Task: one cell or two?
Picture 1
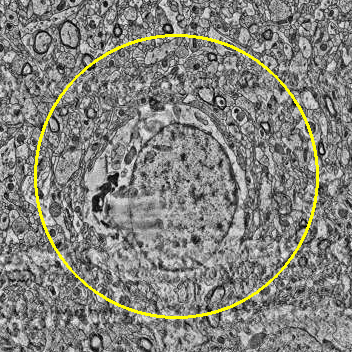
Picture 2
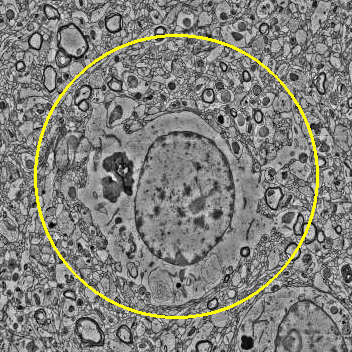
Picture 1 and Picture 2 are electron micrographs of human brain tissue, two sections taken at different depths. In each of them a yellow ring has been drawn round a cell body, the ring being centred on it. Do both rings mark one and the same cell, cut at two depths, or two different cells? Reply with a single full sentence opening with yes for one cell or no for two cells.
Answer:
Yes, the first and second rings frame the same single cell.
